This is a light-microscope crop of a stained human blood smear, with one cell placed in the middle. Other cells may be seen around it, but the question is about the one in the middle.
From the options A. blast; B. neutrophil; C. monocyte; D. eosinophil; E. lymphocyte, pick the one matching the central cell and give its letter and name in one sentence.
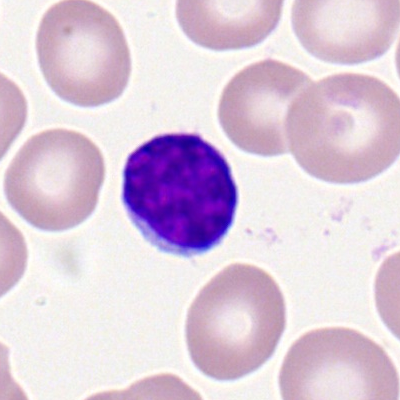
Identification: the cell in the middle is a lymphocyte, matching option E.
